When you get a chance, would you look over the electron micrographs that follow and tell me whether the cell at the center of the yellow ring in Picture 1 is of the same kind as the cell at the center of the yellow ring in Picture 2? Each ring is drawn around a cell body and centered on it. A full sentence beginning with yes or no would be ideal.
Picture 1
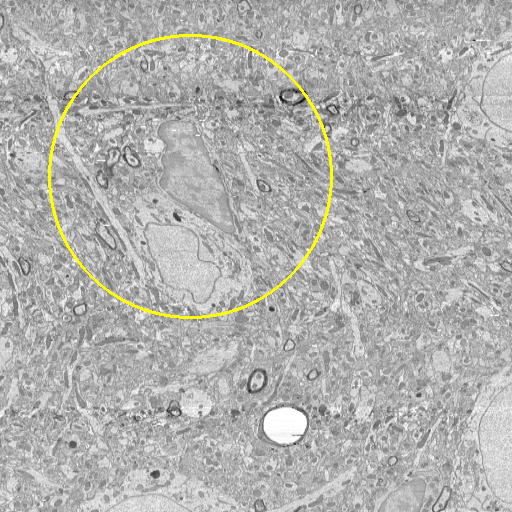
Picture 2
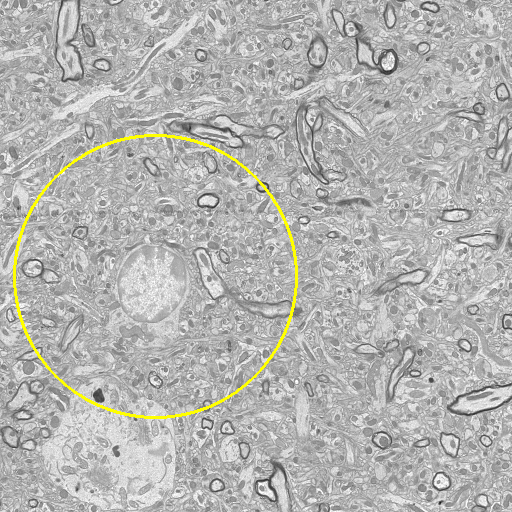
No, they are two kinds of cell.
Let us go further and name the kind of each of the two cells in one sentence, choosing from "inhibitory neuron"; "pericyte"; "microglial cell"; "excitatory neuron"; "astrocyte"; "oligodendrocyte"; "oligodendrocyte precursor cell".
The ring of the first picture is on a microglial cell, the ring of the second on an oligodendrocyte.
